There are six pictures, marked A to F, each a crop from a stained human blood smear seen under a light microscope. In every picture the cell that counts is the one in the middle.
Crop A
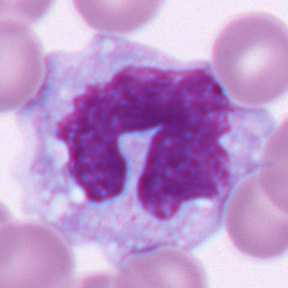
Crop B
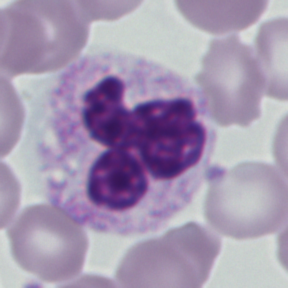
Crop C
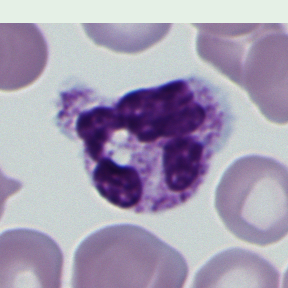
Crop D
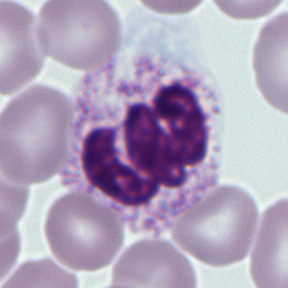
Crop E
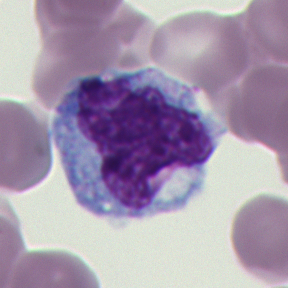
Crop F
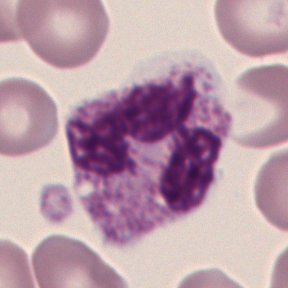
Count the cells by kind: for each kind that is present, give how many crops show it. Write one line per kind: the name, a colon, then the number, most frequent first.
segmented neutrophil: 4
monocyte: 2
